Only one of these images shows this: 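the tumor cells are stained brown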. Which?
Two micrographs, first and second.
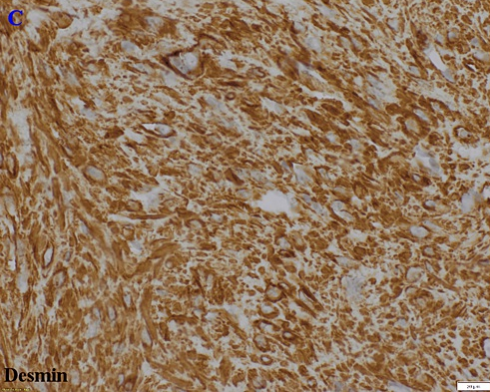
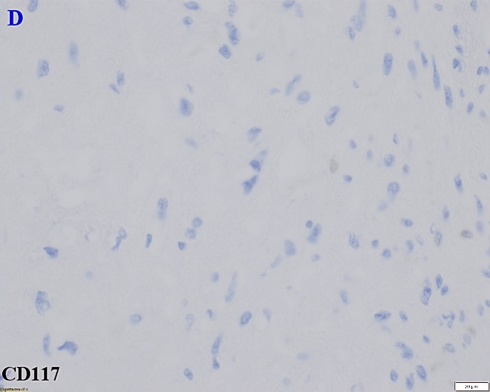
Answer: The first image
